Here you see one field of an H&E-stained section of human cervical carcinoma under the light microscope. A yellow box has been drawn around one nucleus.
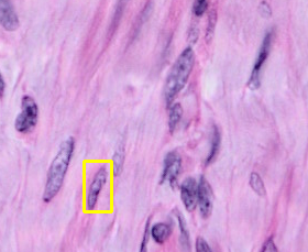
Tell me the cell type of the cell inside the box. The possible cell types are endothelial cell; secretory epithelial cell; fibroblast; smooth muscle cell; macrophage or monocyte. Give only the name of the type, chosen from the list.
smooth muscle cell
